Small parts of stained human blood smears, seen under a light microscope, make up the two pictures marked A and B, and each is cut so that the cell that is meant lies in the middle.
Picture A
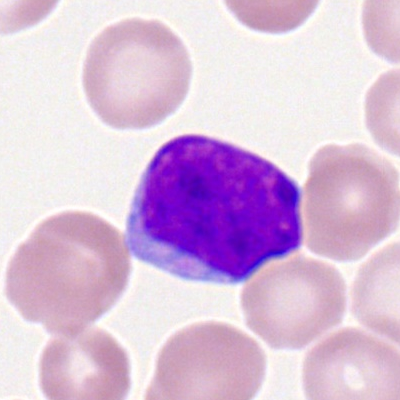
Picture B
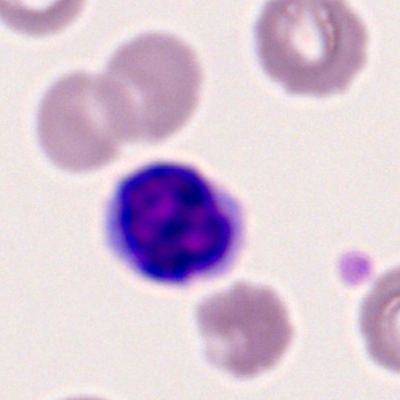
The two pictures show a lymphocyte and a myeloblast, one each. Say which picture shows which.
A: myeloblast
B: lymphocyte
